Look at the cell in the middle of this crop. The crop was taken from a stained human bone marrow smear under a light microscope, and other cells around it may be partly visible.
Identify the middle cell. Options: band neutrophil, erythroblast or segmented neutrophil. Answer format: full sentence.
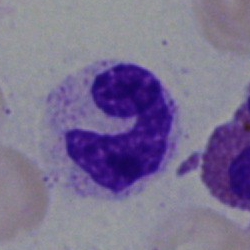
The cell positioned in the middle of the field is a band neutrophil.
